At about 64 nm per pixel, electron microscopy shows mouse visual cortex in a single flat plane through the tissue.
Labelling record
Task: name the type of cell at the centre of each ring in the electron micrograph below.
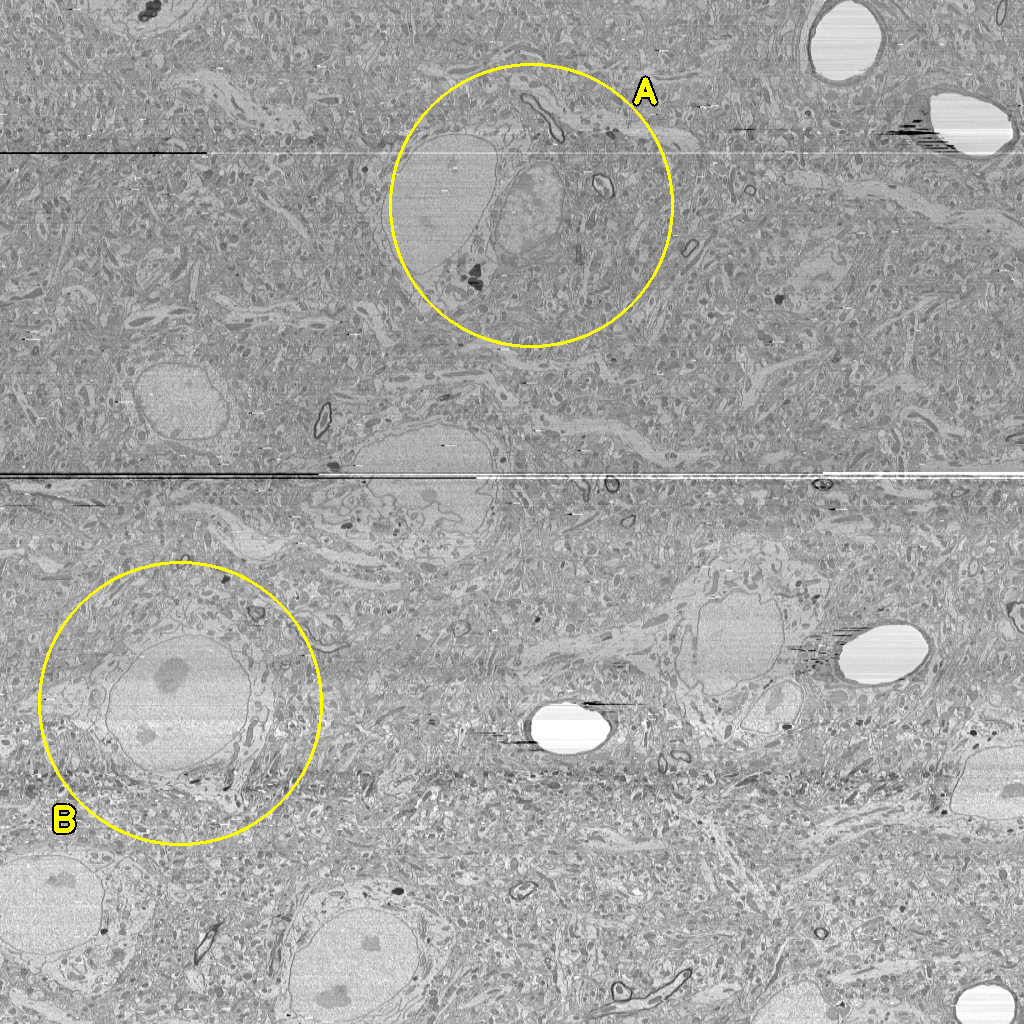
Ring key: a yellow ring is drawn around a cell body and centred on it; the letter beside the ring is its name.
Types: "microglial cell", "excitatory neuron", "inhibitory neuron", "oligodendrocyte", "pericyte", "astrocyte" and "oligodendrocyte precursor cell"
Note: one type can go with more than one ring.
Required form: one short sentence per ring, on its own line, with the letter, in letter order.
In ring A, the centred cell is an oligodendrocyte.
In ring B, the centred cell is an excitatory neuron.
